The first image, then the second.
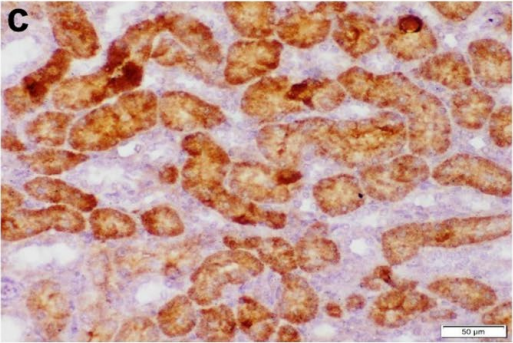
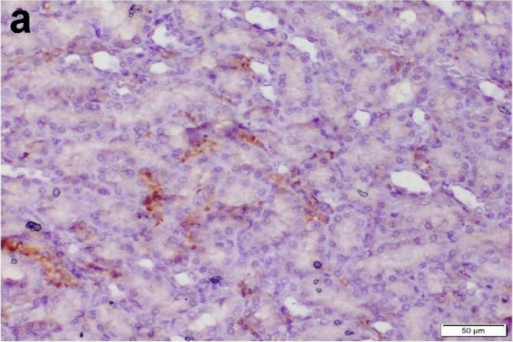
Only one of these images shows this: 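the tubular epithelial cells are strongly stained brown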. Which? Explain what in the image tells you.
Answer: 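Second image: tubules are mostly pale purple with only faint scattered brown traces. First image: most tubular profiles are filled with dense brown stain. So: the first image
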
